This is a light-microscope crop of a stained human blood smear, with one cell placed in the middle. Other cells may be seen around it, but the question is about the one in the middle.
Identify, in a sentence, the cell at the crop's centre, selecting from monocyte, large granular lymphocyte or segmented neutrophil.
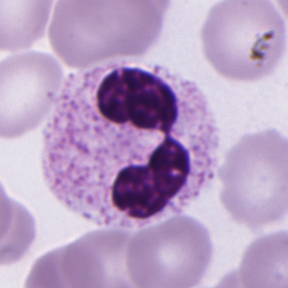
In this crop, the cell at the very middle is a segmented neutrophil.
